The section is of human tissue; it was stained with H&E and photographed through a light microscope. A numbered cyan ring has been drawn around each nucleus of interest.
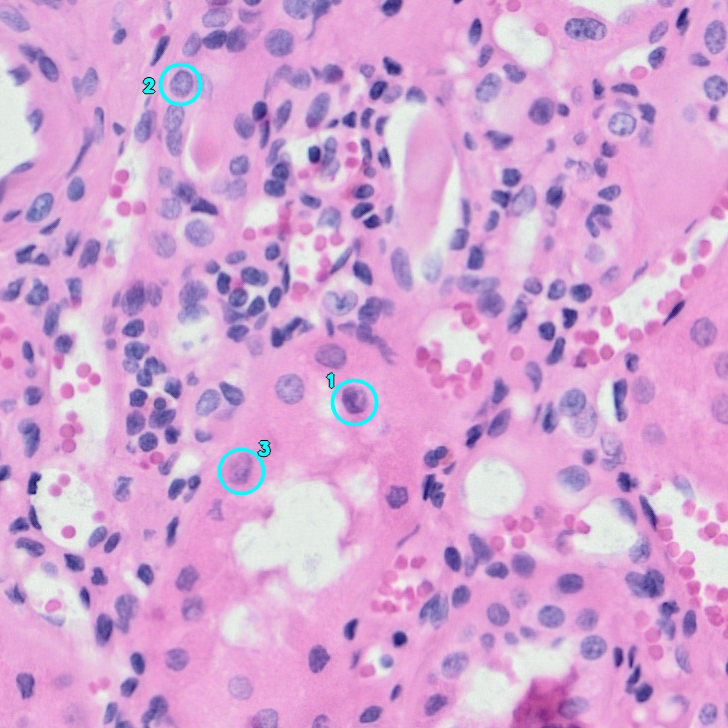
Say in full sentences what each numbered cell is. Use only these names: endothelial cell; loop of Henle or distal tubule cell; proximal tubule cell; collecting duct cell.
Cells 1 and 3 are proximal tubule cells. Cell 2 is a collecting duct cell.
